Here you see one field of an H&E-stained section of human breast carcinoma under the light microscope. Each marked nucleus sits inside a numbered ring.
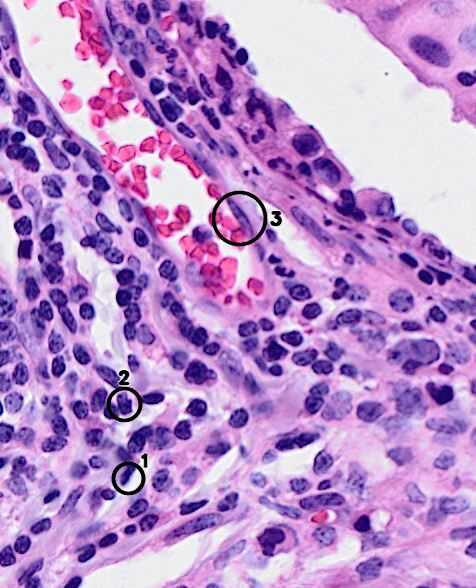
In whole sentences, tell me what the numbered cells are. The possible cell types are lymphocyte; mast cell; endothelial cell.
Cell 1 is a lymphocyte, cell 2 is a lymphocyte and cell 3 is an endothelial cell.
